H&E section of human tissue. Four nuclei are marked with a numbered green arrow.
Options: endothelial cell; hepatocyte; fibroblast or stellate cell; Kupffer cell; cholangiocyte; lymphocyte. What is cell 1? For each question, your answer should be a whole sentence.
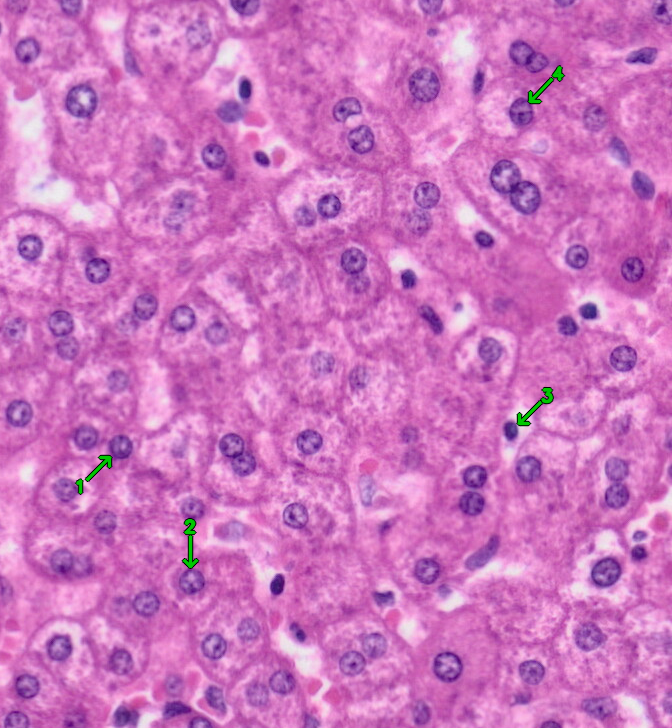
Cell 1 in the field of view is a hepatocyte.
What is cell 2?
The correct answer for cell 2 is a hepatocyte.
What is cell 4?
Identified by the number 4, the cell is a hepatocyte.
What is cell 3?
Of the numbered cells, the one labelled 3 is a lymphocyte.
